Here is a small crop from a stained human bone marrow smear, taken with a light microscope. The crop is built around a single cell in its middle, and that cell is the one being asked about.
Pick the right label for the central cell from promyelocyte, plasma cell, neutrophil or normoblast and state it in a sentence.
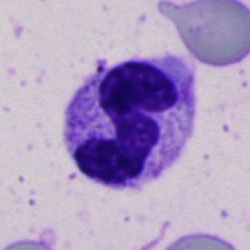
As for the cell in the middle, it is a neutrophil.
